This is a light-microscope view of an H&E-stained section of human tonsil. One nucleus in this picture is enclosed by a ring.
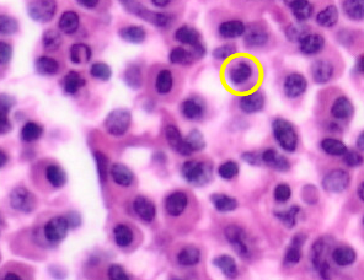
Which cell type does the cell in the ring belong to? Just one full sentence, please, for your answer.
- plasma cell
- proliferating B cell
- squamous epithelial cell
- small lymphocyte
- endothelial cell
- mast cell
As a matter of cell type, the cell in the ring is a plasma cell.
